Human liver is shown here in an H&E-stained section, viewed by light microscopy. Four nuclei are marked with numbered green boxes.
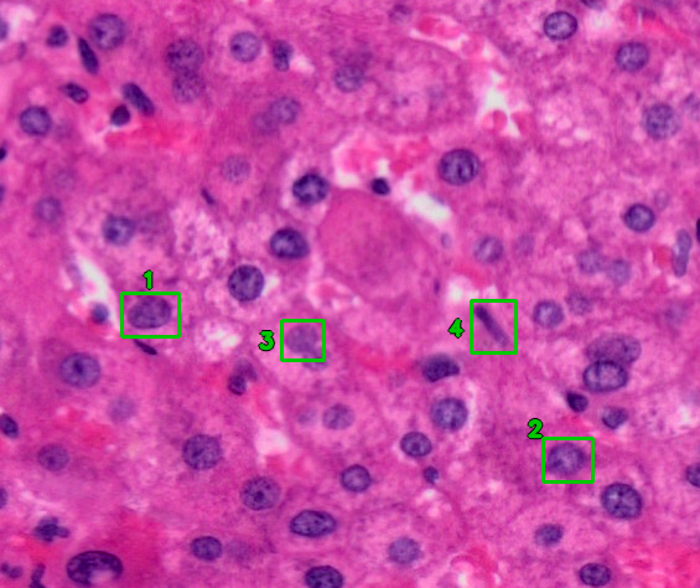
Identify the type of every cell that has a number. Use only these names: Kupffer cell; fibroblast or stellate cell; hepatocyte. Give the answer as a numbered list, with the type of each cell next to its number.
1. hepatocyte
2. hepatocyte
3. hepatocyte
4. Kupffer cell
